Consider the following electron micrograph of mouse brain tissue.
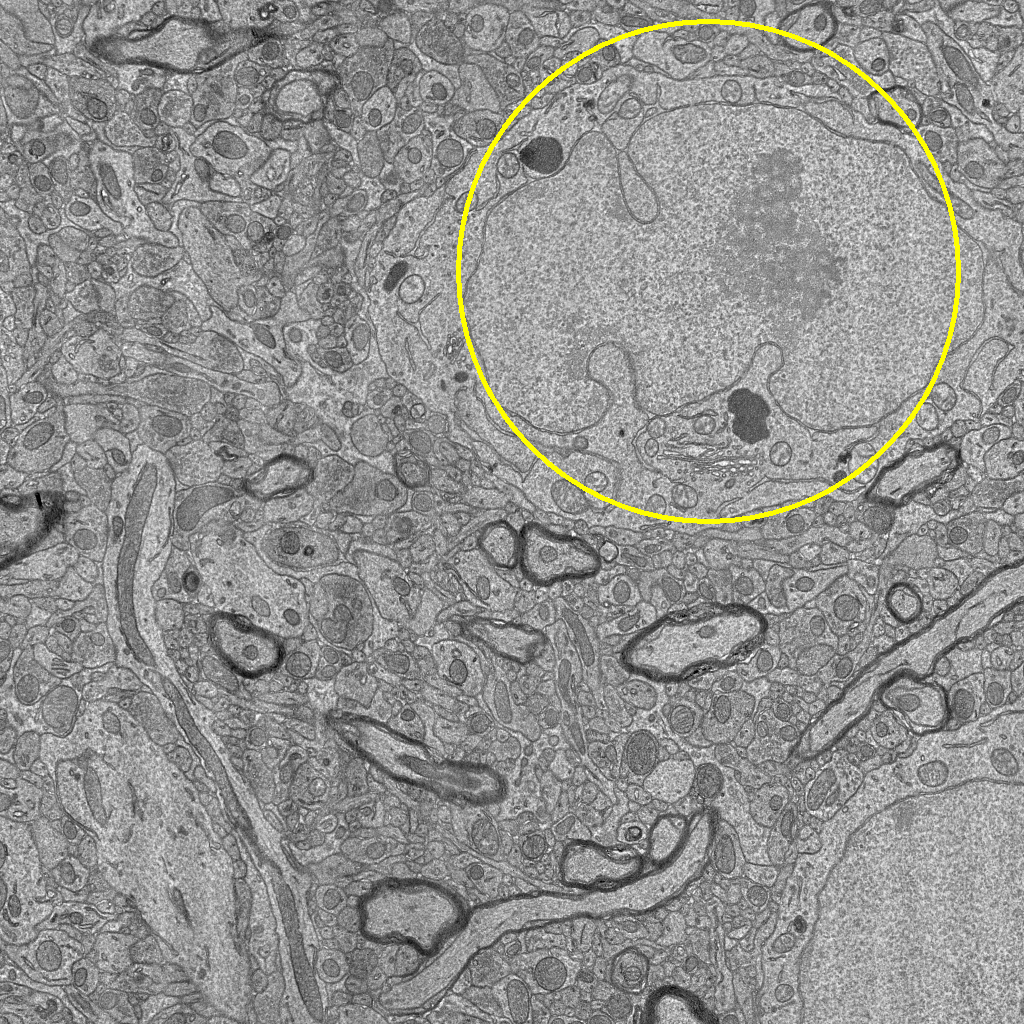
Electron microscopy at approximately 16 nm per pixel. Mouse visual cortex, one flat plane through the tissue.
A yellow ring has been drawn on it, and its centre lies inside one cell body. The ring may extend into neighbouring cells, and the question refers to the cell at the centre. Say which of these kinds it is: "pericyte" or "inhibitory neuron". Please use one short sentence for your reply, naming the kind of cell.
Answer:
The centre of the ring falls on an inhibitory neuron.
